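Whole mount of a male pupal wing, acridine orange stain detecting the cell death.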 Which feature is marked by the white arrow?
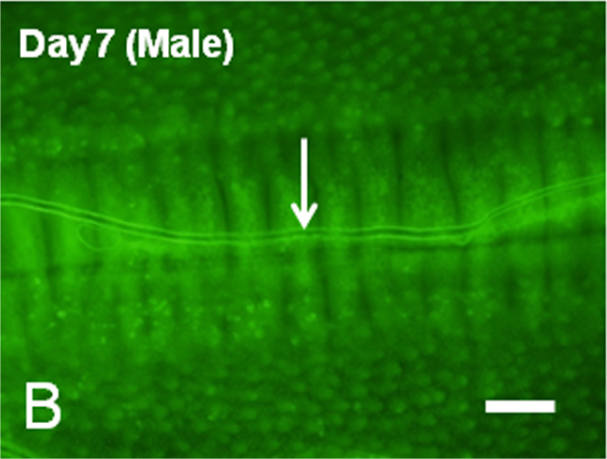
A: Trachea.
